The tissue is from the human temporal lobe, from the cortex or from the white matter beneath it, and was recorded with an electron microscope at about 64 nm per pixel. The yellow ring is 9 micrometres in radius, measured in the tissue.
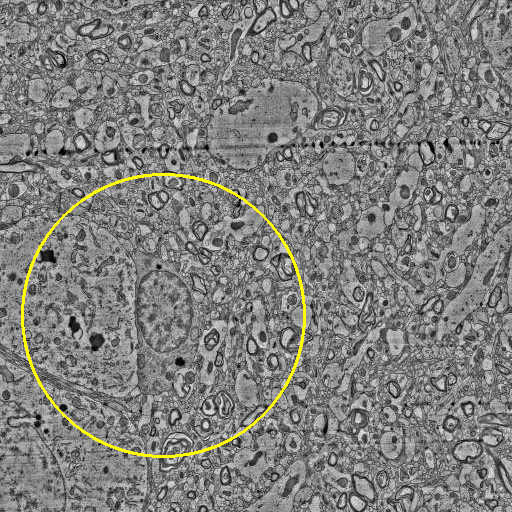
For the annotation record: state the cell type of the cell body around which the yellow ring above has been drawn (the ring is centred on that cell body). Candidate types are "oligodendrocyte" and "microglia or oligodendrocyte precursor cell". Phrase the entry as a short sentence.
The ringed cell is an oligodendrocyte.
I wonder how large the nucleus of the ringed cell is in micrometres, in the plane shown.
The nucleus appears roughly 5 by 4 micrometres in this plane.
